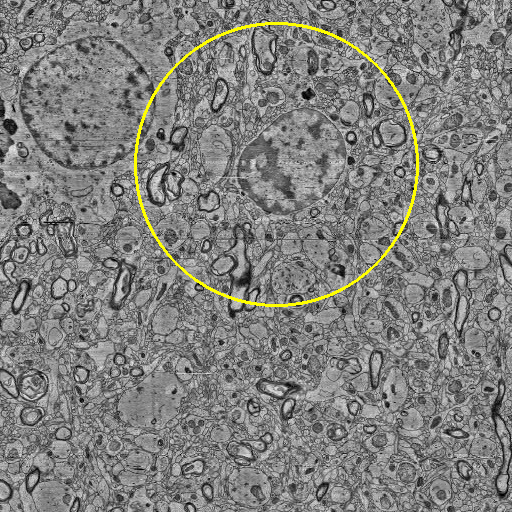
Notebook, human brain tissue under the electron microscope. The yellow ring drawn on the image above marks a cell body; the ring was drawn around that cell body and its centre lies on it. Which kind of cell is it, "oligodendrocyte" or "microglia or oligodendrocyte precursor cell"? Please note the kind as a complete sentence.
The marked cell body is that of a microglial cell or oligodendrocyte precursor cell.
